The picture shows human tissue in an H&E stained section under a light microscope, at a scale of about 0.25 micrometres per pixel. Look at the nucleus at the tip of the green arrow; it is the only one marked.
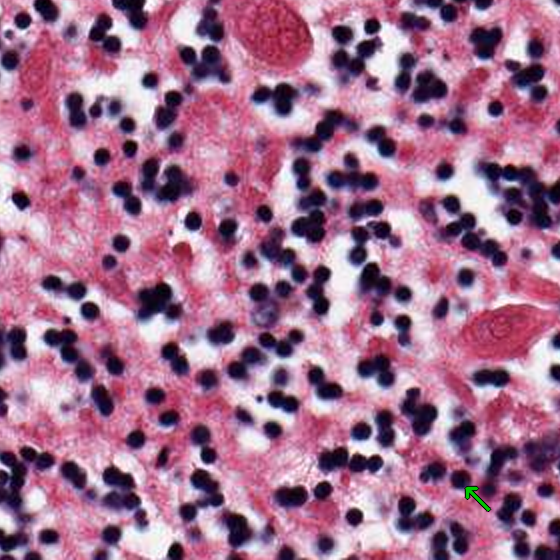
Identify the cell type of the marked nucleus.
cerebellar granule cell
